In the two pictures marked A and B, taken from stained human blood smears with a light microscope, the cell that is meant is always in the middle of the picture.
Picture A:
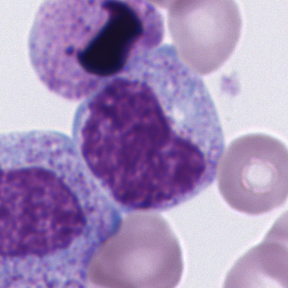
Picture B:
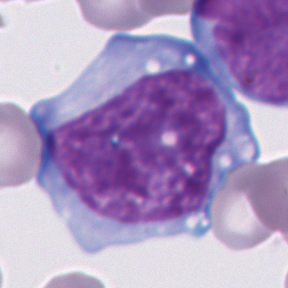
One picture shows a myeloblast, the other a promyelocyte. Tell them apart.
A: promyelocyte
B: myeloblast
